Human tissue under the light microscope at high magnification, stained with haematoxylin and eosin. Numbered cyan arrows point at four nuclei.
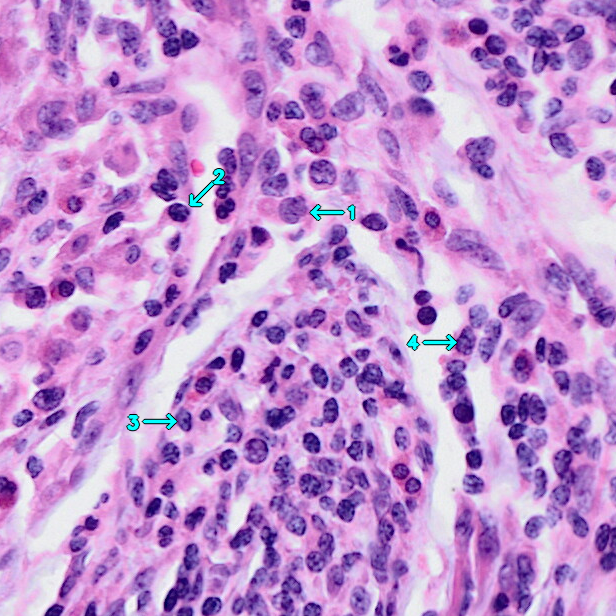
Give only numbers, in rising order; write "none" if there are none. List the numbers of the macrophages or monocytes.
1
